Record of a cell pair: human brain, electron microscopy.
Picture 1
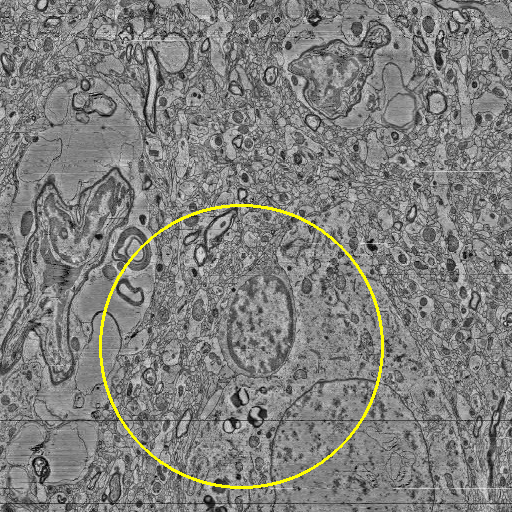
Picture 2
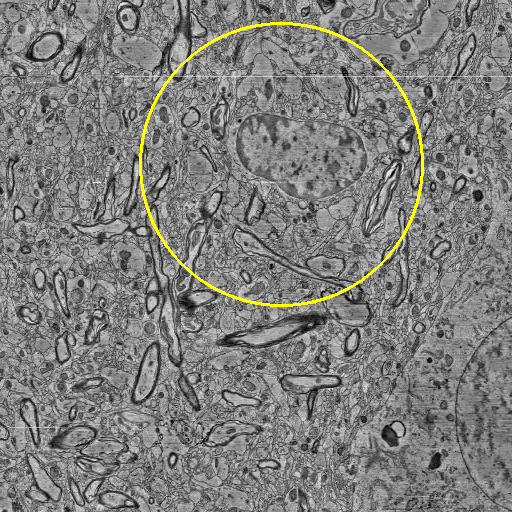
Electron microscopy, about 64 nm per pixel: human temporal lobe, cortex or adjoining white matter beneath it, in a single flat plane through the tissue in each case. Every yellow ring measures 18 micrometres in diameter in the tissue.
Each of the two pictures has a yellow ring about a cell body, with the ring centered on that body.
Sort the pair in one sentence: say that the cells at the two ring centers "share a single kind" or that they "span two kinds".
The cells centered in the rings of Pictures 1 and 2 span two kinds.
